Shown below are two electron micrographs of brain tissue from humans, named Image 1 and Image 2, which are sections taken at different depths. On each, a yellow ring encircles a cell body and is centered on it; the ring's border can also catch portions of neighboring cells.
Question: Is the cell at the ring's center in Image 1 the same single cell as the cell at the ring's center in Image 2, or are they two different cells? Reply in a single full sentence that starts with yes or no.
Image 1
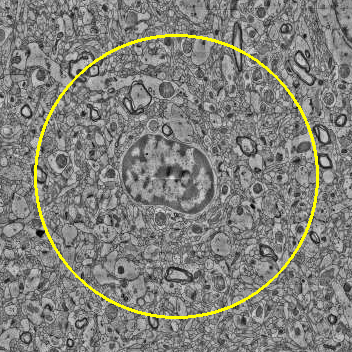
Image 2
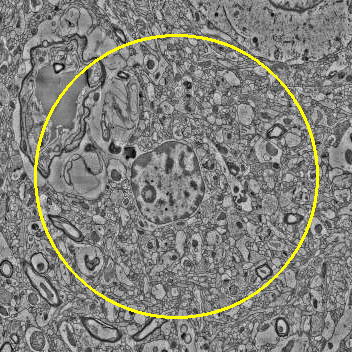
No, each yellow ring marks its own cell.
